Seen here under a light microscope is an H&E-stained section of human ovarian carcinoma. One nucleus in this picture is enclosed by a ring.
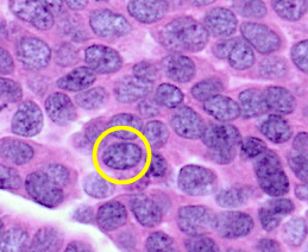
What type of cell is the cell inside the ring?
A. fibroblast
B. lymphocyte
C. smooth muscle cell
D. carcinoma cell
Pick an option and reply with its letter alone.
D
